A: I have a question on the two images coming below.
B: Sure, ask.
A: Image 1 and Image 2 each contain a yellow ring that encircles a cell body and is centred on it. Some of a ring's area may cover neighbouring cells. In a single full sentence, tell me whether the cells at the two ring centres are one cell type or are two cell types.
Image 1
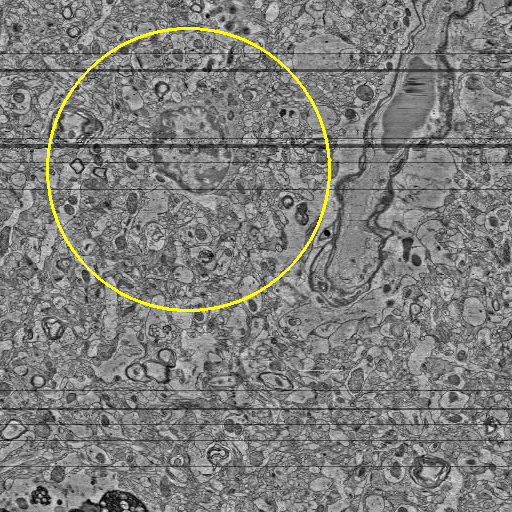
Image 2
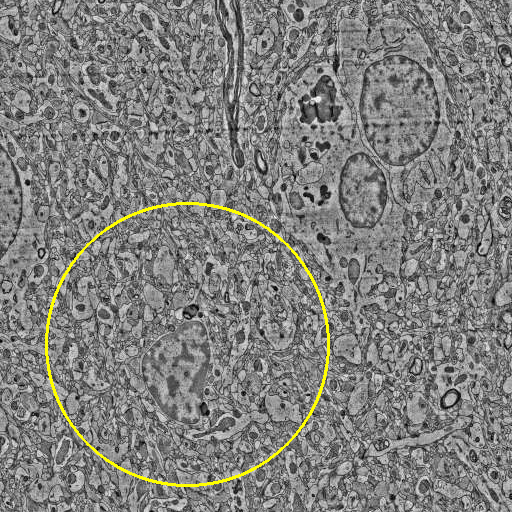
As for the ring-centre cells, the one in Image 1 and the one in Image 2 are two cell types.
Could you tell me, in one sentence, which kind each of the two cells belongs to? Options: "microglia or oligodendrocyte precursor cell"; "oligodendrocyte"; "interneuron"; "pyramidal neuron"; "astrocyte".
At the centre of the first ring sits an oligodendrocyte, and at the centre of the second sits a microglial cell or oligodendrocyte precursor cell.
